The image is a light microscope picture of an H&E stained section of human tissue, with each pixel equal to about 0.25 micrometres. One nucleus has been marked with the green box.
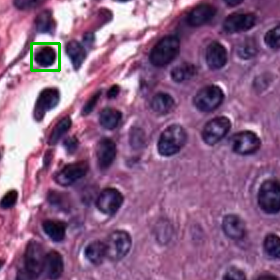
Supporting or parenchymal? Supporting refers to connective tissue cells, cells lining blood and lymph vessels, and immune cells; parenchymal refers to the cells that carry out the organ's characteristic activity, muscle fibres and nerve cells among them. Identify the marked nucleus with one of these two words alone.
supporting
